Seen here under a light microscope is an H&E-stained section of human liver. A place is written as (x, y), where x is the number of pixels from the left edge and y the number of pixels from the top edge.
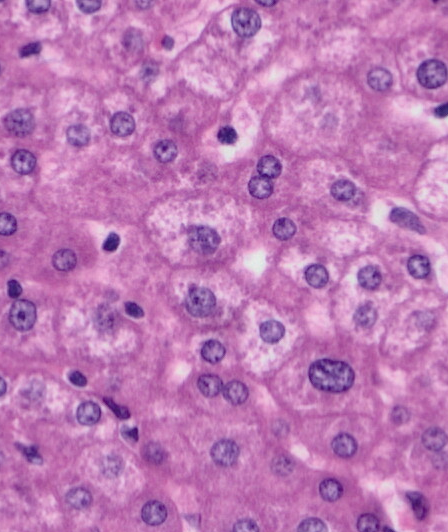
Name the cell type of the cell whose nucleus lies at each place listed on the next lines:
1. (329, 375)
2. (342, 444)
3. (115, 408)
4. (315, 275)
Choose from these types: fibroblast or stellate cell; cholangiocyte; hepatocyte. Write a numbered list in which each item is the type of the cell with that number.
1. hepatocyte
2. hepatocyte
3. fibroblast or stellate cell
4. hepatocyte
